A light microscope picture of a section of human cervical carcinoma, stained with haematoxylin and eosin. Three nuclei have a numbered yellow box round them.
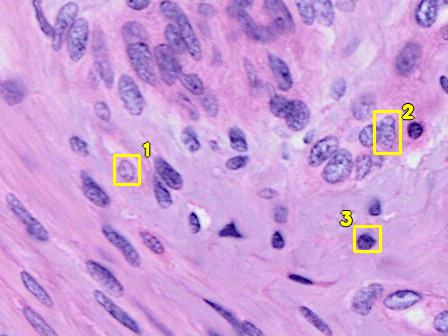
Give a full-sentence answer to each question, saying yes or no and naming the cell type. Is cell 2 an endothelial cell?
Yes, the cell that number 2 points to is an endothelial cell.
